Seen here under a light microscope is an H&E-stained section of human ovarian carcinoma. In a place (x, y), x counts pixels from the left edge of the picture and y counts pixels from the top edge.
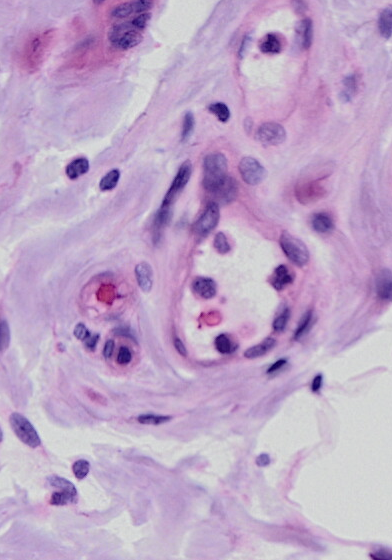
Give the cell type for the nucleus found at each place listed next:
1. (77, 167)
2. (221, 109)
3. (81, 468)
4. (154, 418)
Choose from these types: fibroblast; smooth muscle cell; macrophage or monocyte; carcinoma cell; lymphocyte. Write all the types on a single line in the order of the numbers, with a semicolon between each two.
lymphocyte; lymphocyte; lymphocyte; fibroblast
